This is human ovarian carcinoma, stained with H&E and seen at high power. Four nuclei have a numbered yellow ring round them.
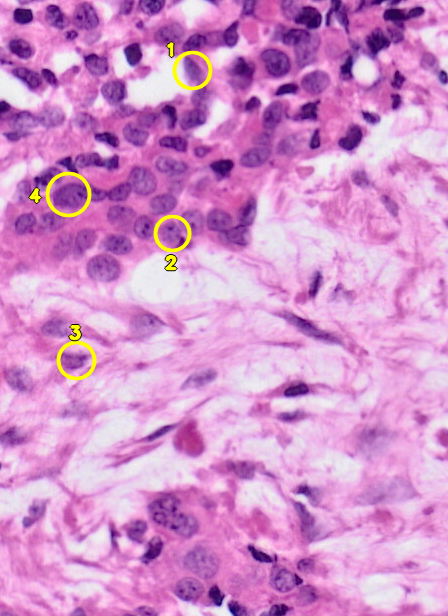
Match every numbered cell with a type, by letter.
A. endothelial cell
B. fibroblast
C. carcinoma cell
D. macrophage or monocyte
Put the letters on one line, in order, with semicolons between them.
C; D; B; C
